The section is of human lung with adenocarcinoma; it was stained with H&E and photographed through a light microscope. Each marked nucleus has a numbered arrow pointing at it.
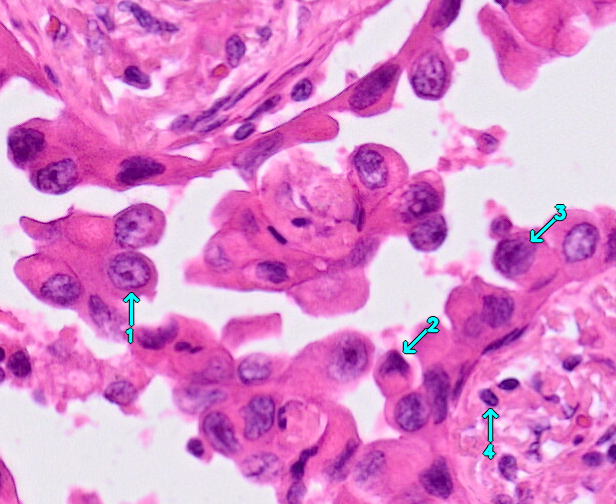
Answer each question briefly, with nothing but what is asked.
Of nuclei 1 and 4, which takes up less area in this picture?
4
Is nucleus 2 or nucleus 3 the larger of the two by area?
3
